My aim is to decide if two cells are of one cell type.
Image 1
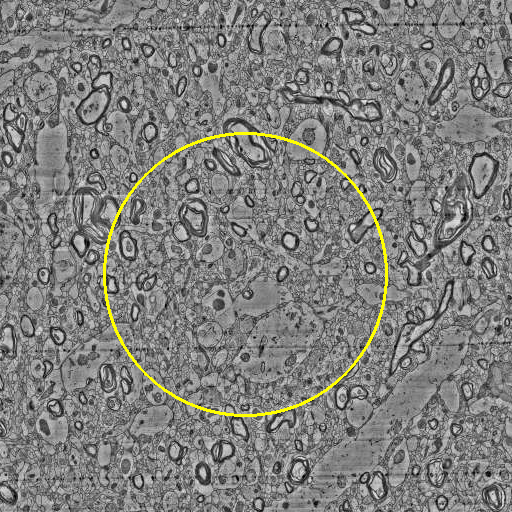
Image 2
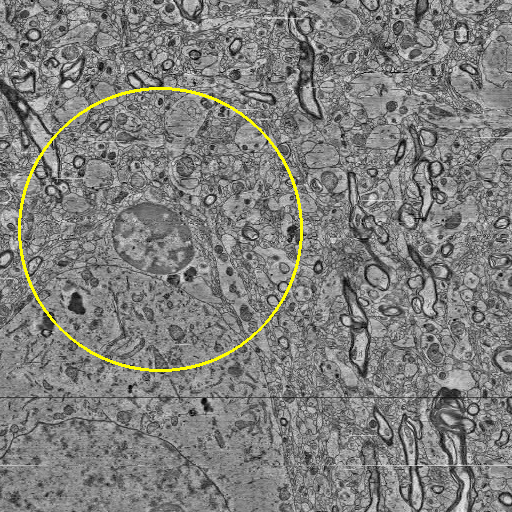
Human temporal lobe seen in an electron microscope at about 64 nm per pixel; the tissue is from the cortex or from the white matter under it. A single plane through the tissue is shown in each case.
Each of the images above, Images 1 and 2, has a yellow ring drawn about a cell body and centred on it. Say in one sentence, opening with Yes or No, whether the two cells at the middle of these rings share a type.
No, in Images 1 and 2 the cells at the middle of the rings fall into two types.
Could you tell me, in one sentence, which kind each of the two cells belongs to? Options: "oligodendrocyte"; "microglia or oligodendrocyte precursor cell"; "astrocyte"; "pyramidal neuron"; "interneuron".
At the centre of the first ring sits an oligodendrocyte, and at the centre of the second sits a microglial cell or oligodendrocyte precursor cell.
